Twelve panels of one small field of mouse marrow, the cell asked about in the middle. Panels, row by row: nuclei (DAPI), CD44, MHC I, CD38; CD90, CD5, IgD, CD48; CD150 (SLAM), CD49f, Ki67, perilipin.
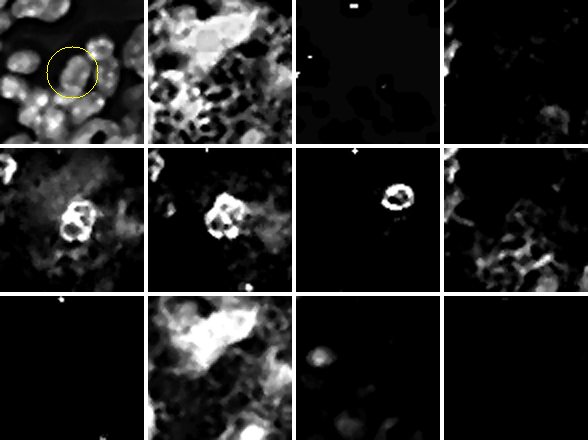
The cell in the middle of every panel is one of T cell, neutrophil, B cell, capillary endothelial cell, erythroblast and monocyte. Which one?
T cell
